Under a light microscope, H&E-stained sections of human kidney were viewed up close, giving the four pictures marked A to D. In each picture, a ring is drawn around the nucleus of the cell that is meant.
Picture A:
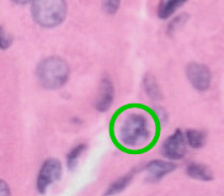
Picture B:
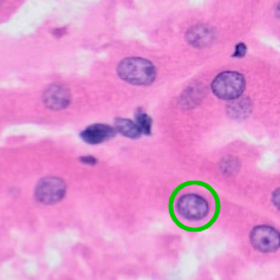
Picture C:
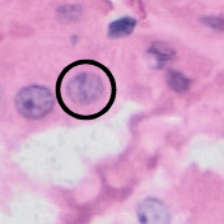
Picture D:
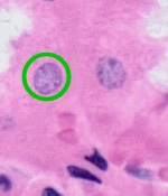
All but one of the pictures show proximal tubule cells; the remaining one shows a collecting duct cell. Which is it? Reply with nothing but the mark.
A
